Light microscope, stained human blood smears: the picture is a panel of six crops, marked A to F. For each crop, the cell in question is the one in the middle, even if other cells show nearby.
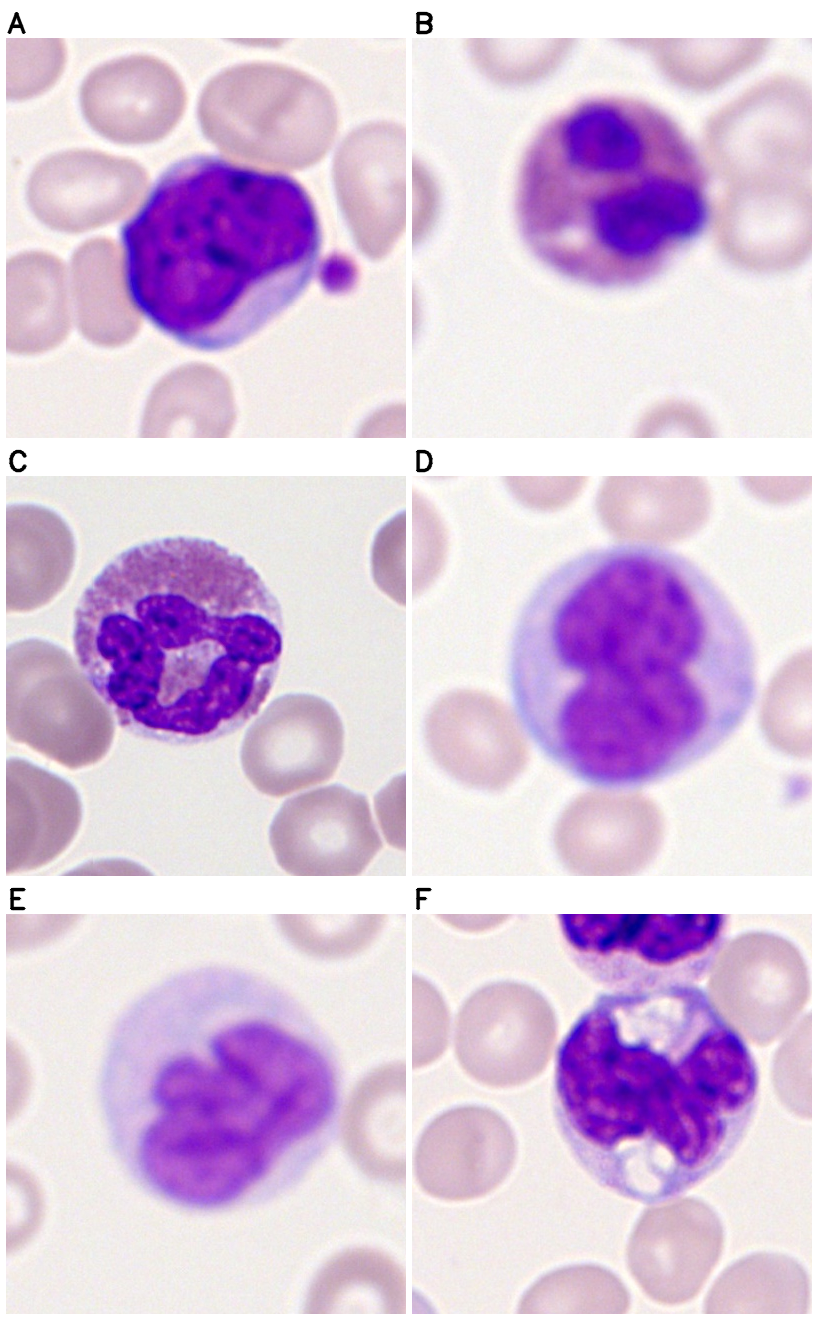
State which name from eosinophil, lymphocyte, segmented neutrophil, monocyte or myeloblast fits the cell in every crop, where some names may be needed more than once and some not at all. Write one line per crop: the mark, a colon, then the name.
A: myeloblast
B: eosinophil
C: eosinophil
D: monocyte
E: monocyte
F: monocyte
